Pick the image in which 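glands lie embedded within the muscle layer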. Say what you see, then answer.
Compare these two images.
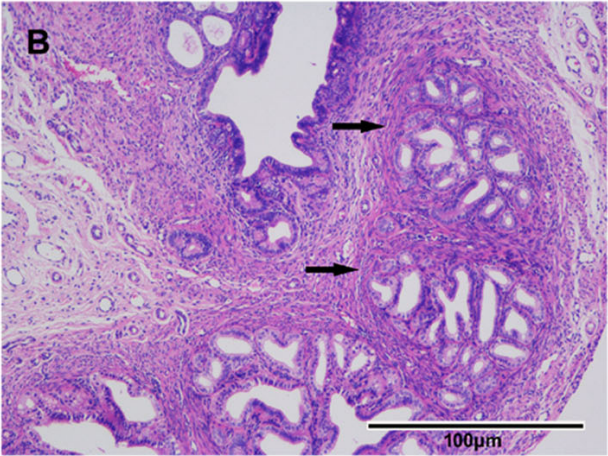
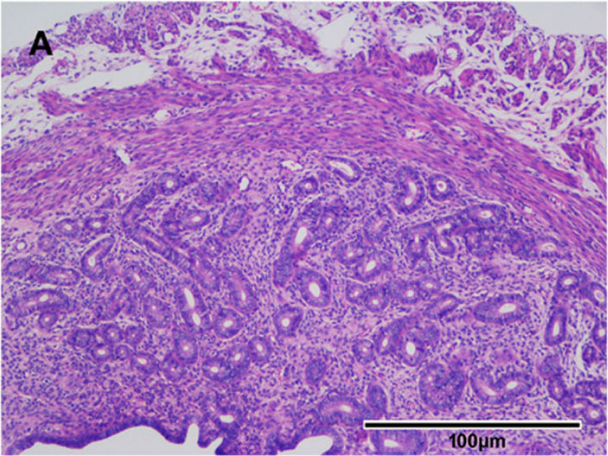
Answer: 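First image: clusters of glands sit inside pink rings of muscle bundles. Second image: the pink muscle band is continuous and the glands stay beneath it in the cellular stroma. That points to this answer: the first image.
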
